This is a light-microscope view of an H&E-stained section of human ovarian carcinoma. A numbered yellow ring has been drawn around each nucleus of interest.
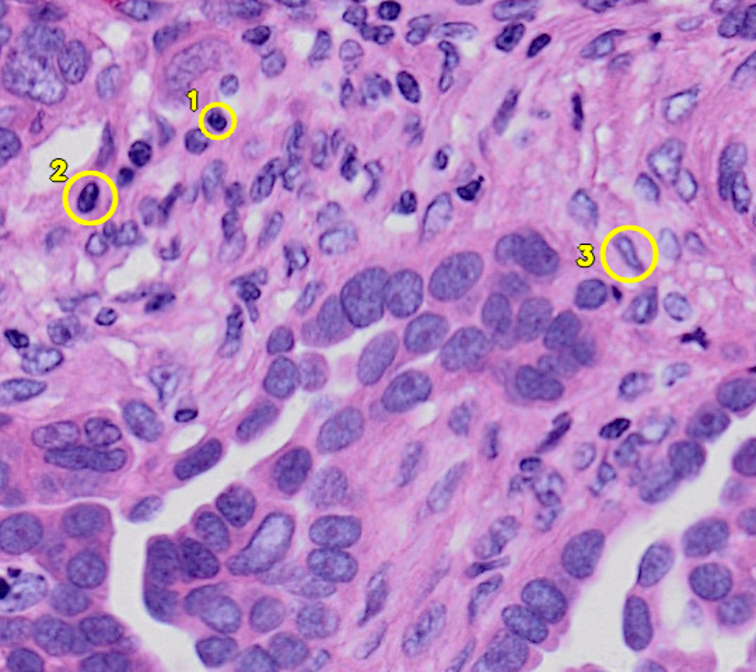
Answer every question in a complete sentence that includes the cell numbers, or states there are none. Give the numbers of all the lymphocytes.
The cells marked 1 and 2 in the section are lymphocytes.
